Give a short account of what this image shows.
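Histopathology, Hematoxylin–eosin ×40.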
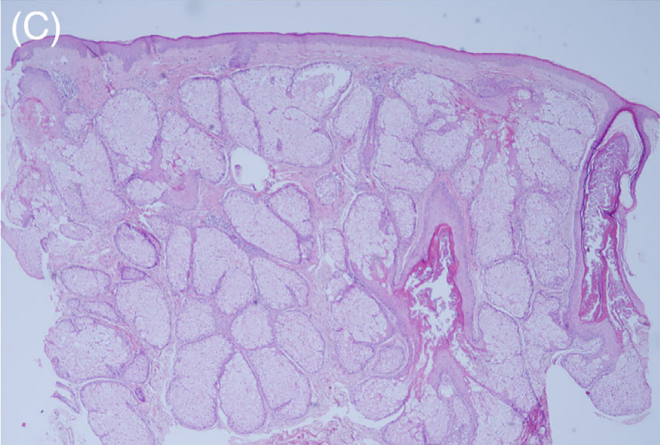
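At low magnification a thin pink epidermis runs along the top, and beneath it the dermis is almost entirely occupied by many large, pale, rounded lobules. The lobules are packed closely together, separated by thin pink fibrous septa, and extend deep through the section. Among them a dilated, duct-like channel with pink keratinous contents runs toward the surface. This picture fits expanded lobules of sebaceous glands crowding the dermis.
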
